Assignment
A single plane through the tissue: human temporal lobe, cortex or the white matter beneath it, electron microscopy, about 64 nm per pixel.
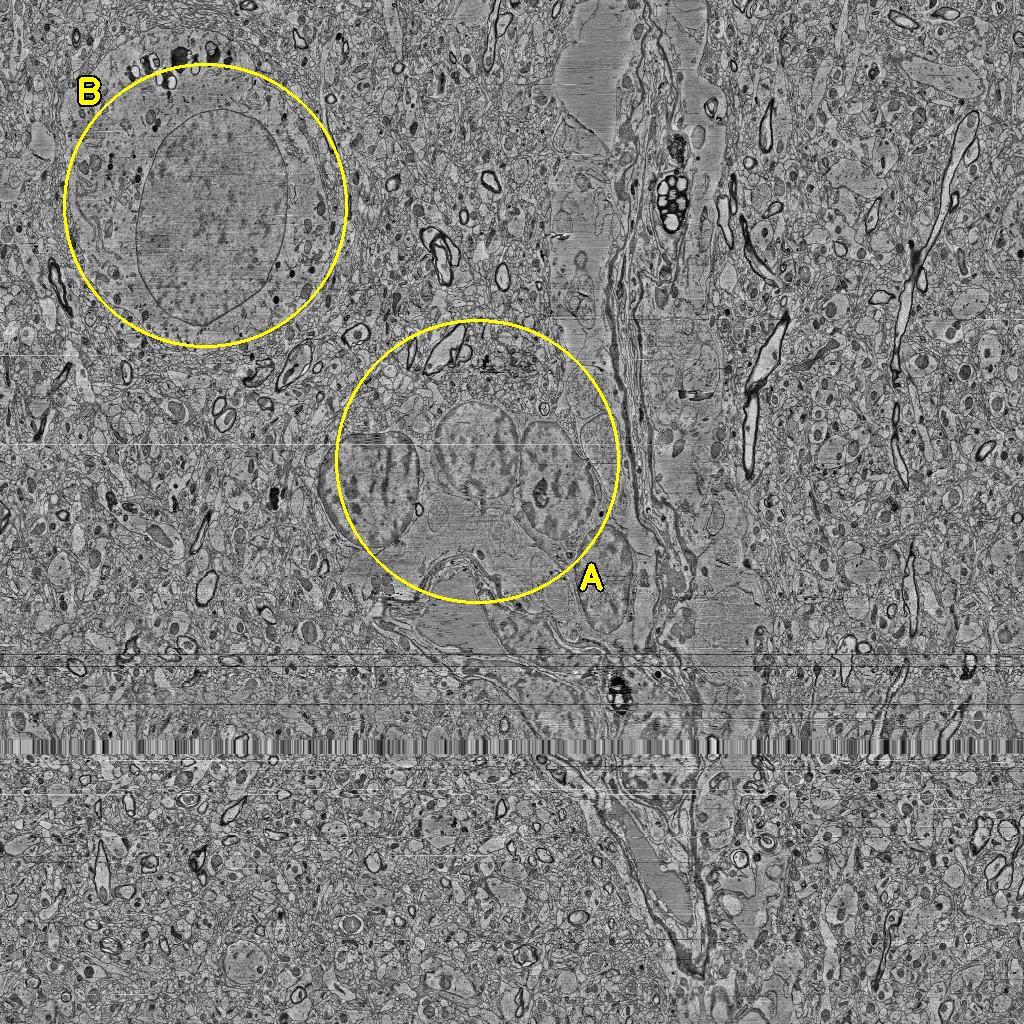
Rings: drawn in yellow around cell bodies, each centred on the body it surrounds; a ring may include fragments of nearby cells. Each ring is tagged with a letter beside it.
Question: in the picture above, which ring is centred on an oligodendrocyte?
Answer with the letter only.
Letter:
A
